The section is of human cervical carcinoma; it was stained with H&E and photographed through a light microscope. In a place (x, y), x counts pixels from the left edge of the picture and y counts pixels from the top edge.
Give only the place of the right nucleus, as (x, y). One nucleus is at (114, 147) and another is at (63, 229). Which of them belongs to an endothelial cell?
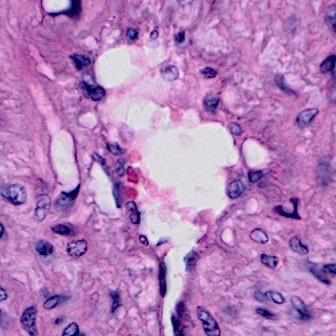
(114, 147)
